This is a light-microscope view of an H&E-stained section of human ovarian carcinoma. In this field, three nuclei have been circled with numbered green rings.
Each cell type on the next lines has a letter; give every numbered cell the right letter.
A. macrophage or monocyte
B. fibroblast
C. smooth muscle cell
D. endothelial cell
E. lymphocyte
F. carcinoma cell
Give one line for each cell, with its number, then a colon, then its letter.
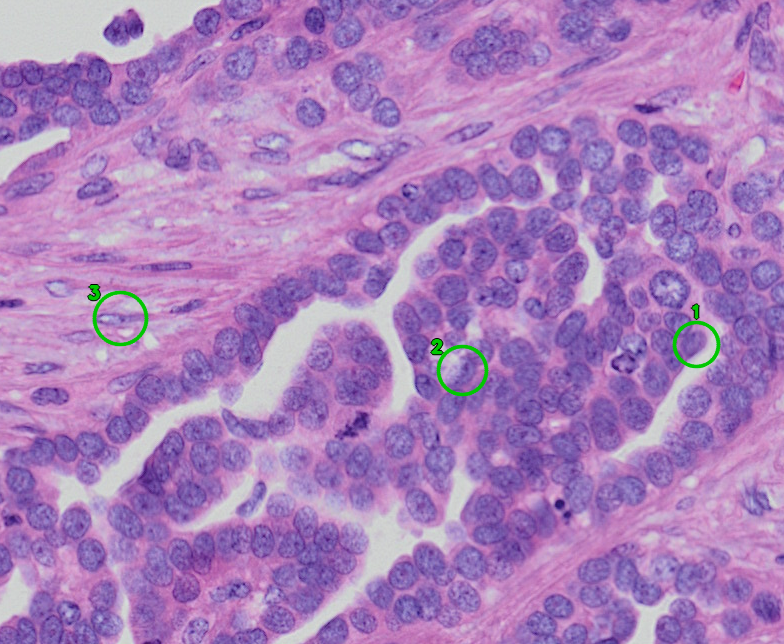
1: F
2: F
3: B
